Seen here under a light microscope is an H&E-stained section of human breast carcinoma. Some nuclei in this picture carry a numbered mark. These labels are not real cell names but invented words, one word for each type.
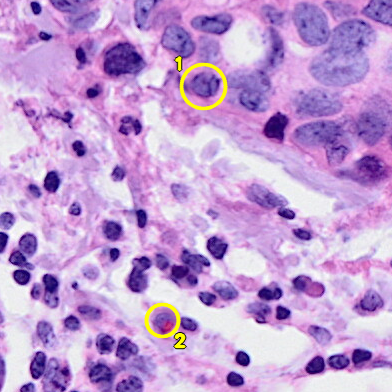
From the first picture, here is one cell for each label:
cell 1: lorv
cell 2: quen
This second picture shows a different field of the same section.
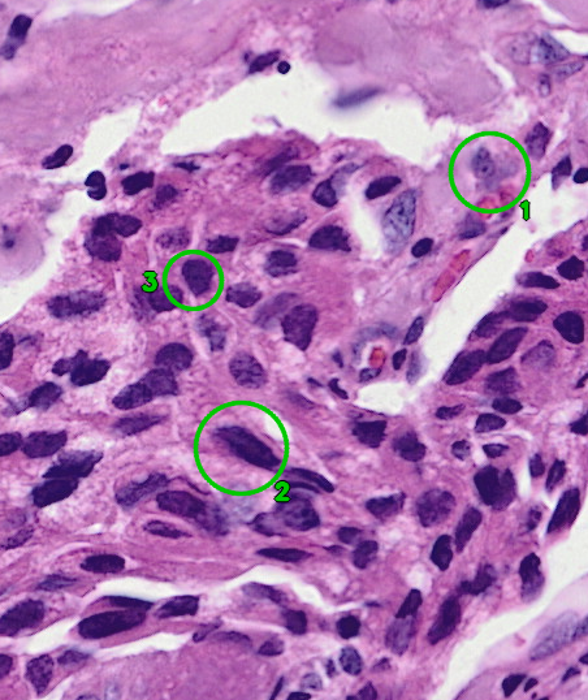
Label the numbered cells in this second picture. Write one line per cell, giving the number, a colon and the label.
1: quen
2: lorv
3: lorv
